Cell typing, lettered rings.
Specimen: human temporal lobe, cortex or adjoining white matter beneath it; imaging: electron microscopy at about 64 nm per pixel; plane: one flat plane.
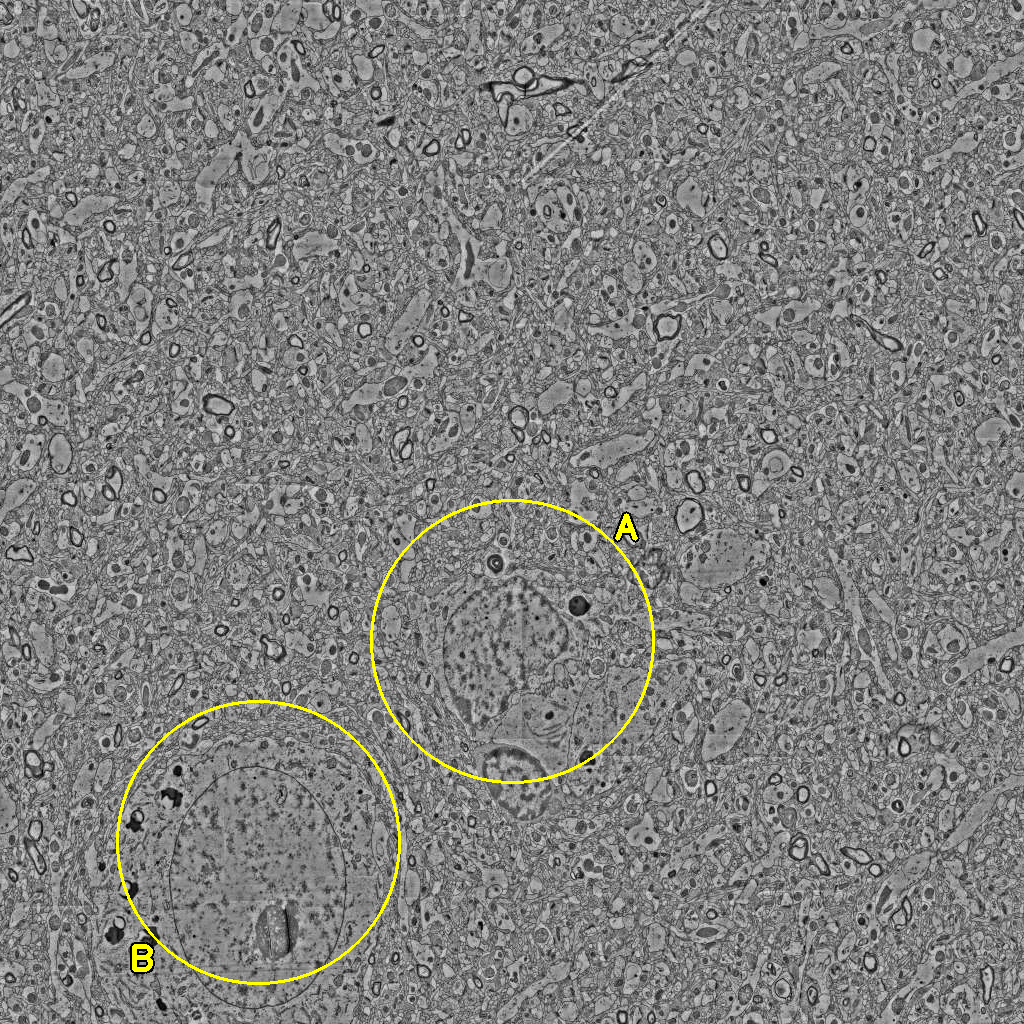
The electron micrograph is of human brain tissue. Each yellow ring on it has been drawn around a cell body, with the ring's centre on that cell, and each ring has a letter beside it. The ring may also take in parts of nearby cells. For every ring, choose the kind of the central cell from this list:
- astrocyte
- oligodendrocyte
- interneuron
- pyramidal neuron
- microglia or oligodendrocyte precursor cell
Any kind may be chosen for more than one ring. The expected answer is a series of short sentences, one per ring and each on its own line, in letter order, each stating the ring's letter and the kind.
For ring A, the centred cell is an interneuron.
For ring B, the centred cell is a pyramidal neuron.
